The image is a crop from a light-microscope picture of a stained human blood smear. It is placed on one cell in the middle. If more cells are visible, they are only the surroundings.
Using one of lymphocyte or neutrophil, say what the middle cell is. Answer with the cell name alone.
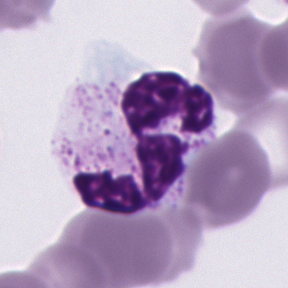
neutrophil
